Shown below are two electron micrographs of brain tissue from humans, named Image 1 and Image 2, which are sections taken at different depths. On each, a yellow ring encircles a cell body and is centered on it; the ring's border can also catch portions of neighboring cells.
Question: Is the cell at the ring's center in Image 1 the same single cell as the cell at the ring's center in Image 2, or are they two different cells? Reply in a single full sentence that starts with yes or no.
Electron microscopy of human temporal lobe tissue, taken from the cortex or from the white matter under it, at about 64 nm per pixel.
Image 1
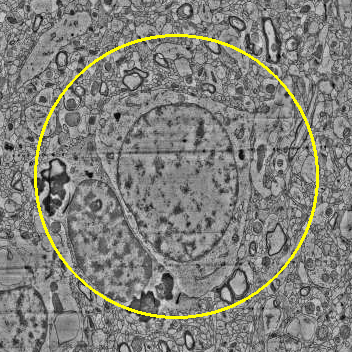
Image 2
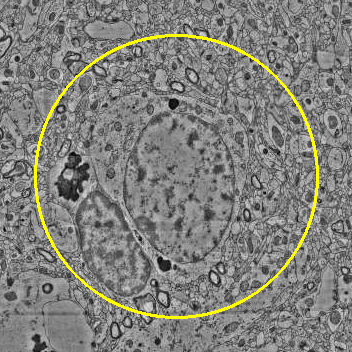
Yes, a single cell lies behind both yellow marks.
